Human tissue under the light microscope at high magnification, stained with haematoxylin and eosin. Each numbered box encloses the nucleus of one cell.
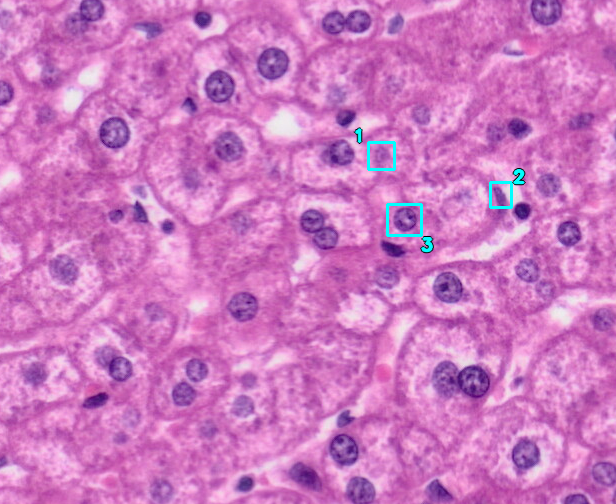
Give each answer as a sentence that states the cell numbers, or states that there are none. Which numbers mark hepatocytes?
The cells 1 and 3 in this section are hepatocytes.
